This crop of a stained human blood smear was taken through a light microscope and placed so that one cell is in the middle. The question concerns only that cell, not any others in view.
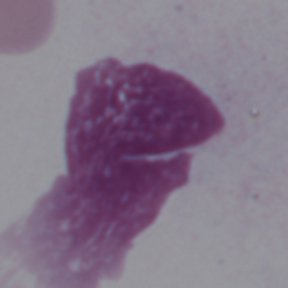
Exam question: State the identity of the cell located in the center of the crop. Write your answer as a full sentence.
On this slide crop, the central cell is a smudge cell.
